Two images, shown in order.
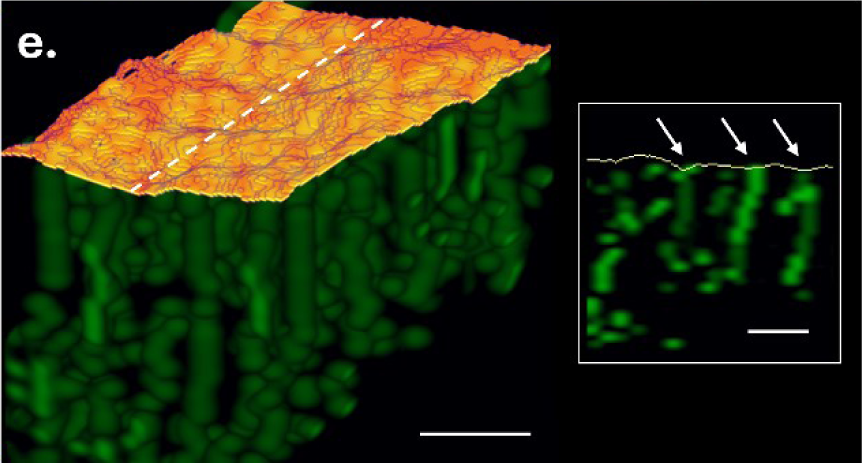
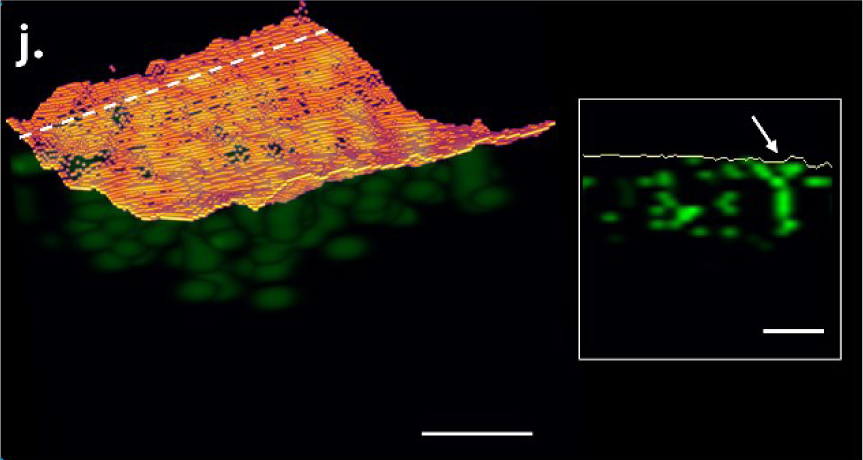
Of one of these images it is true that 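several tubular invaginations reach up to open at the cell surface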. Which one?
The first image.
